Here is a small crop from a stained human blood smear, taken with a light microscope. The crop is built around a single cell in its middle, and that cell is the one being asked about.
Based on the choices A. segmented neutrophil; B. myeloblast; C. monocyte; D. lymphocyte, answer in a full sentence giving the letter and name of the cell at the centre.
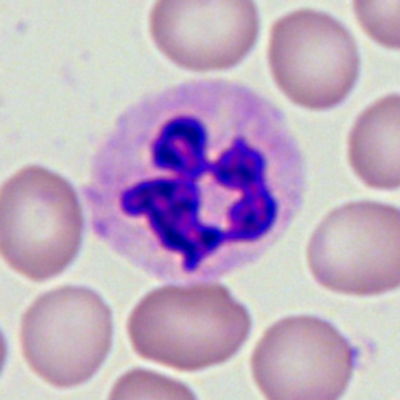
The cell in the middle is a segmented neutrophil, and that makes option A correct.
